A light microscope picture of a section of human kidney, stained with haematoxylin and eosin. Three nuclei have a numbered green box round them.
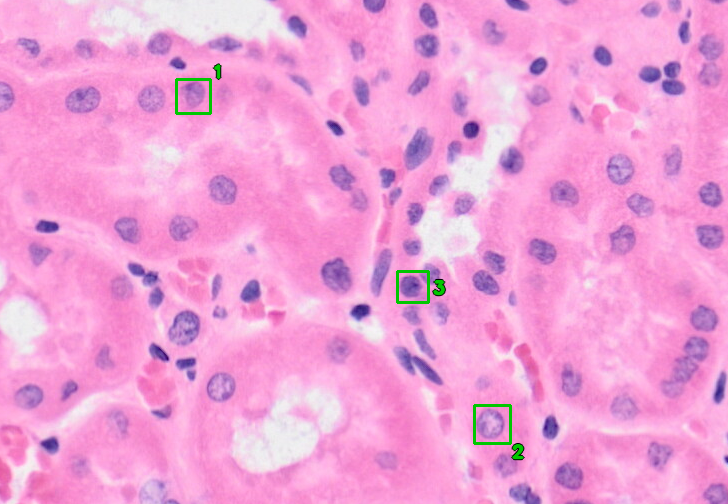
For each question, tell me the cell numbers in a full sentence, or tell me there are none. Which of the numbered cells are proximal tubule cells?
The cells with labels 1 and 2 are proximal tubule cells.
